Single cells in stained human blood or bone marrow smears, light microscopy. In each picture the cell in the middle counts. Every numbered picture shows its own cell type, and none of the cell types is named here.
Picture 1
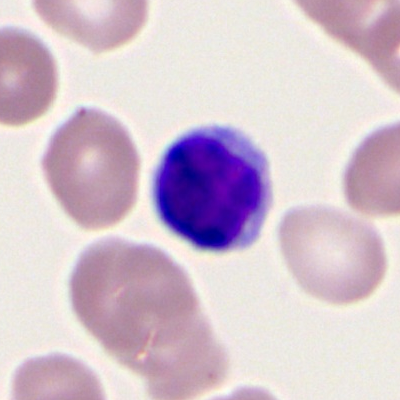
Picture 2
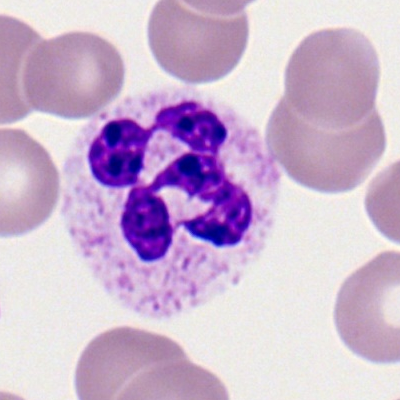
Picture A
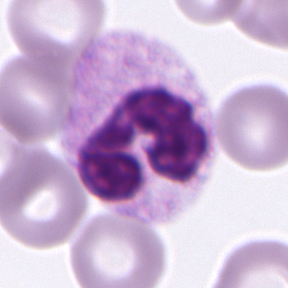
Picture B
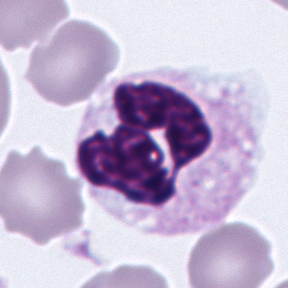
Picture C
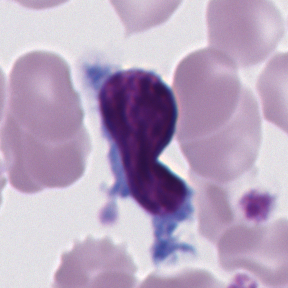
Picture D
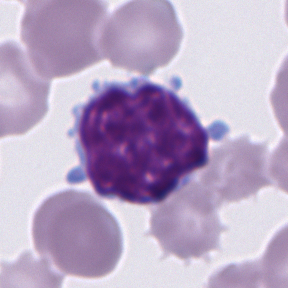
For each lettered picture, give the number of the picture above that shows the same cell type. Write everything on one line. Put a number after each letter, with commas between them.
A 2, B 2, C 1, D 1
